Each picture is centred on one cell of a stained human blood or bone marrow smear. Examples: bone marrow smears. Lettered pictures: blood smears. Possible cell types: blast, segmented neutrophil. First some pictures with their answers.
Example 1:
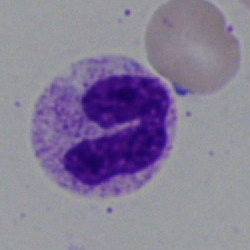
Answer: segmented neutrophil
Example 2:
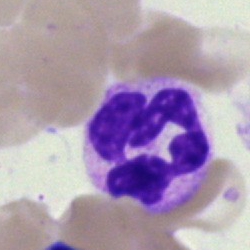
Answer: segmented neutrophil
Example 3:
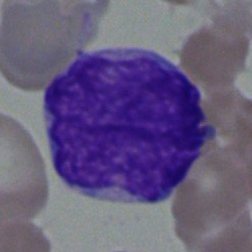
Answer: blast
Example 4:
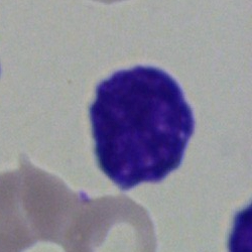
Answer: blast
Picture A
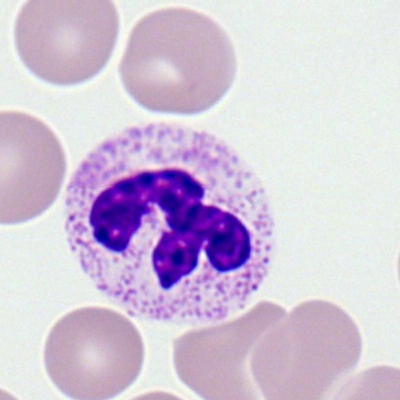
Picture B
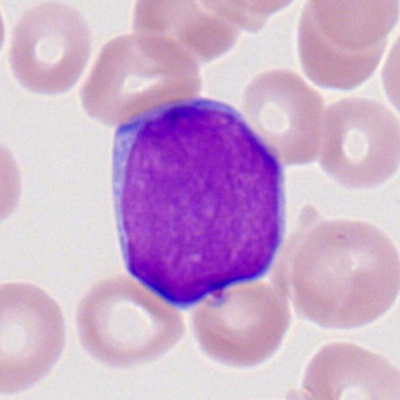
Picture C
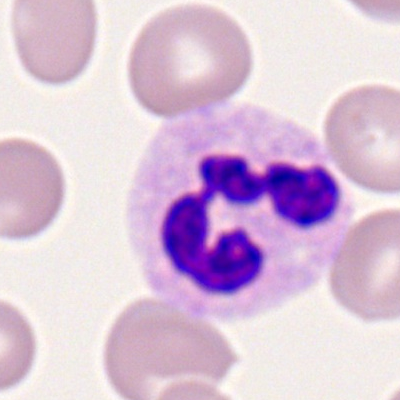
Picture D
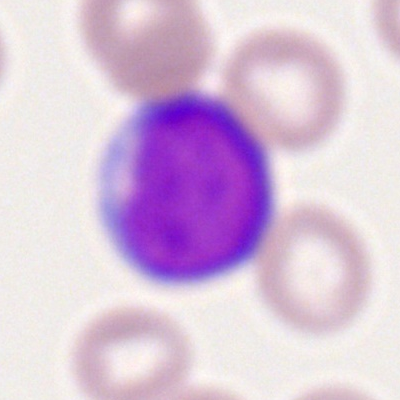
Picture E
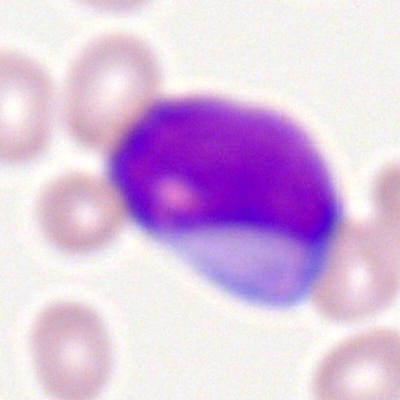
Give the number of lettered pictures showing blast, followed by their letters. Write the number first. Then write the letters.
Count: 3 (B, D, E)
